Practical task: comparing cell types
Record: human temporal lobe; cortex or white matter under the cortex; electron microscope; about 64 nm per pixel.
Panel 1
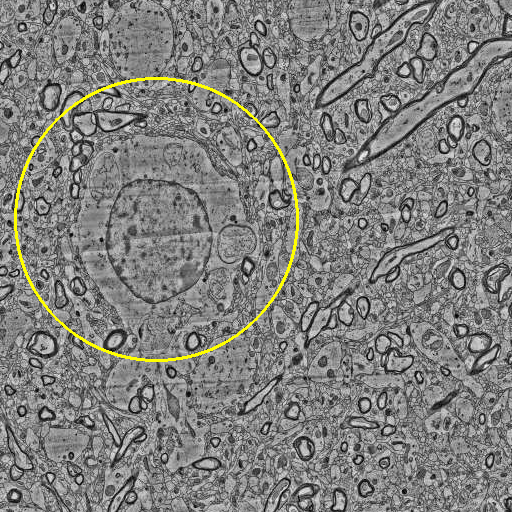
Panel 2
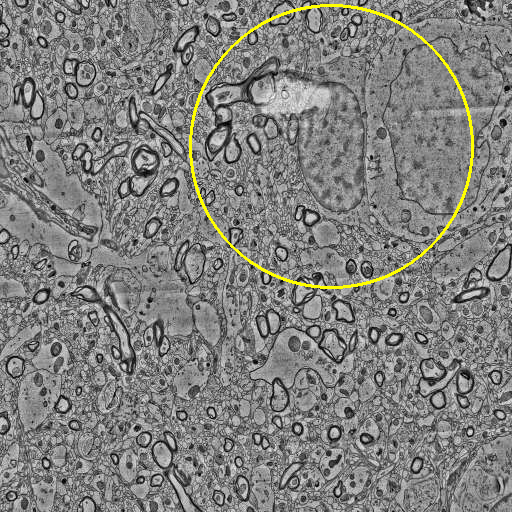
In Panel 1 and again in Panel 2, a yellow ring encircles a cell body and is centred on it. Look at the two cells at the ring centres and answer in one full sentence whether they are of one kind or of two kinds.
The two cells sitting at the ring centres of Panels 1 and 2 are of two kinds.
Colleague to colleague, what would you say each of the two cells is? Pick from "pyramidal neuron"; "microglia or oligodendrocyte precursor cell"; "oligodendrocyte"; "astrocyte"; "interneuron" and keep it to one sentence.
The cell in the first picture is an astrocyte; the second picture's cell is an oligodendrocyte.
